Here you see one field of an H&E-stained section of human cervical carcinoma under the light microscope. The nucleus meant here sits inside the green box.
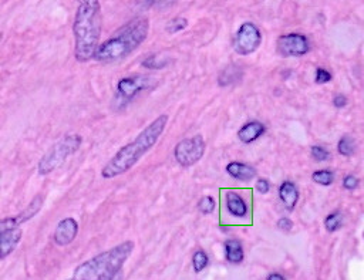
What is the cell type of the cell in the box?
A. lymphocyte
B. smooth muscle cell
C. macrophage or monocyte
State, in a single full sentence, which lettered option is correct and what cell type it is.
Option B matches the cell in the box, which is a smooth muscle cell.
